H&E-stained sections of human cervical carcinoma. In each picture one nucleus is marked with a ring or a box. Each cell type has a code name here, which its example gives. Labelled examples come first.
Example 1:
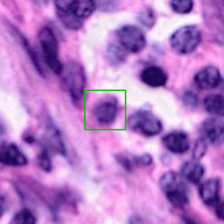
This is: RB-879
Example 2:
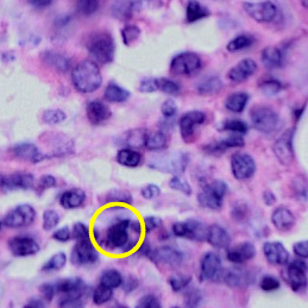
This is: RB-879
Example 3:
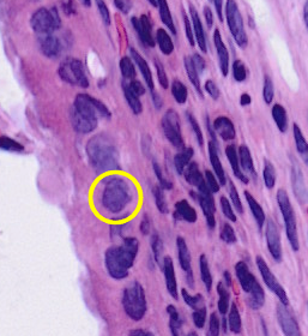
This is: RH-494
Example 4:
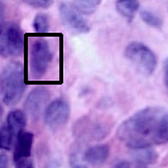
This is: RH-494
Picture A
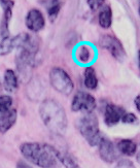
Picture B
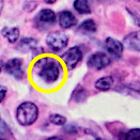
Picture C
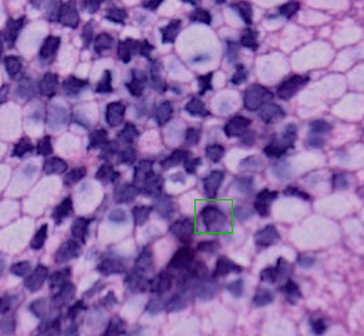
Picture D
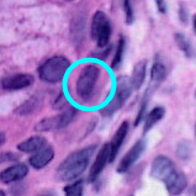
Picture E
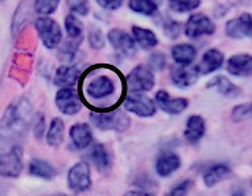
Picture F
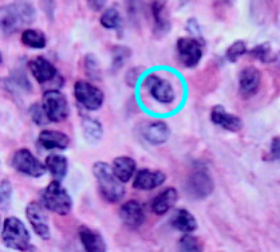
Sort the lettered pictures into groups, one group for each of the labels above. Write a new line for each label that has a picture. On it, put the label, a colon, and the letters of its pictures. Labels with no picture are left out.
RB-879: A, B, E, F
RH-494: C, D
